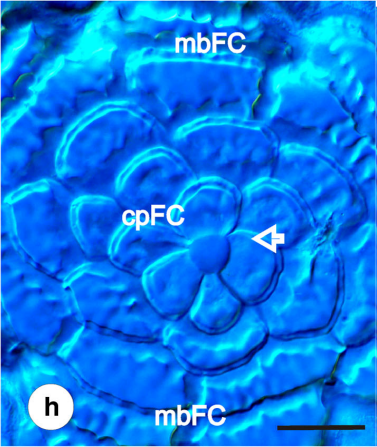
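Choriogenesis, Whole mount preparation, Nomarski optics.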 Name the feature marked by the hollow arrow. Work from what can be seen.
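Cells are arranged radially around a small round centre. The arrow points to that centre. That points to this answer: central part of a rosette.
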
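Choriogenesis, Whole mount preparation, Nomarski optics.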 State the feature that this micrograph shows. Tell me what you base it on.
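Wedge-shaped cells radiate around a centre like petals. Further rings of cells surround them. So: rosette pattern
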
